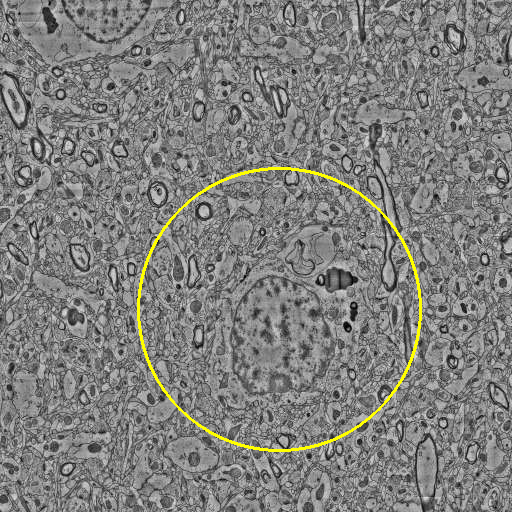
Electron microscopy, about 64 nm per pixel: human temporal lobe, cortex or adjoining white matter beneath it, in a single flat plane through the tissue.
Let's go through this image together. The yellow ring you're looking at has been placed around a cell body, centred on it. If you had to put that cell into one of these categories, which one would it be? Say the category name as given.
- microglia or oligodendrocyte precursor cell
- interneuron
interneuron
